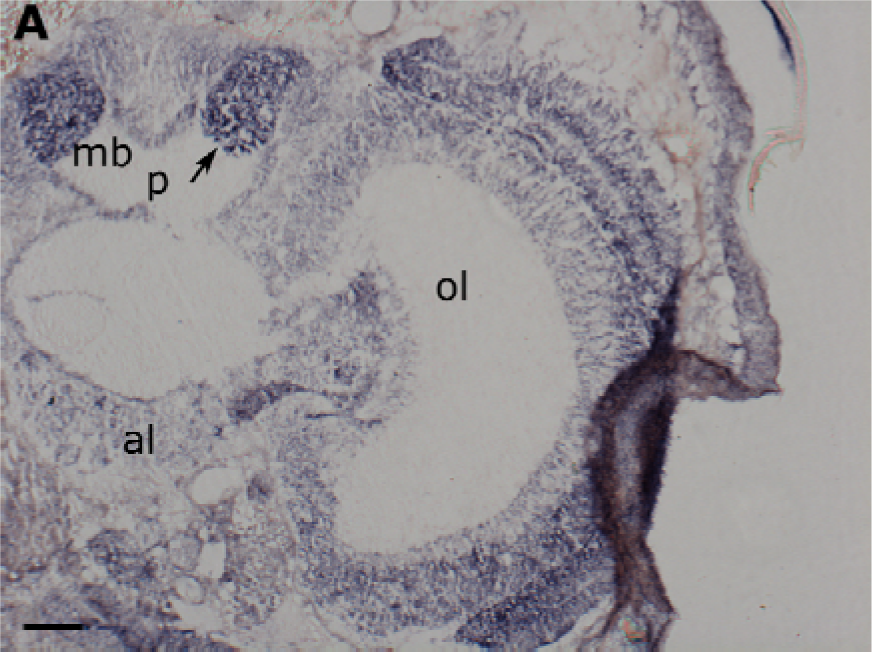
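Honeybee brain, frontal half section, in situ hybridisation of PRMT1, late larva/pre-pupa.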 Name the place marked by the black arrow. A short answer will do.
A: neural precursor dividing regions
